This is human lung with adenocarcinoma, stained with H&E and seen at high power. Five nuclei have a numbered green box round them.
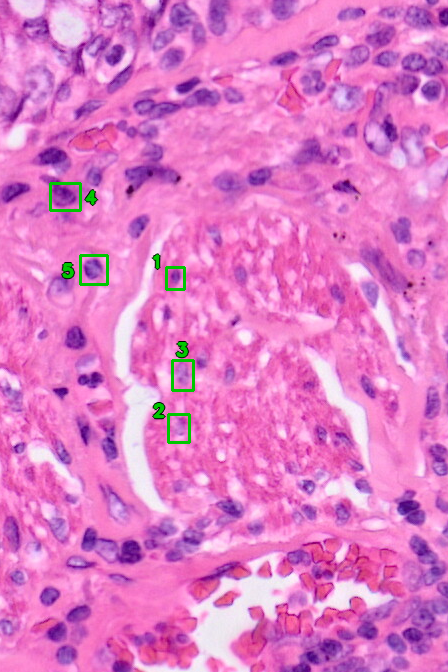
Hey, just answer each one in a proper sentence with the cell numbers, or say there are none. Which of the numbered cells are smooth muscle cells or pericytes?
Identification: the cells with numbers 1, 2 and 3 are smooth muscle cells or pericytes.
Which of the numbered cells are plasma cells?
Among the cells marked with numbers, the only one that is a plasma cell is number 4.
